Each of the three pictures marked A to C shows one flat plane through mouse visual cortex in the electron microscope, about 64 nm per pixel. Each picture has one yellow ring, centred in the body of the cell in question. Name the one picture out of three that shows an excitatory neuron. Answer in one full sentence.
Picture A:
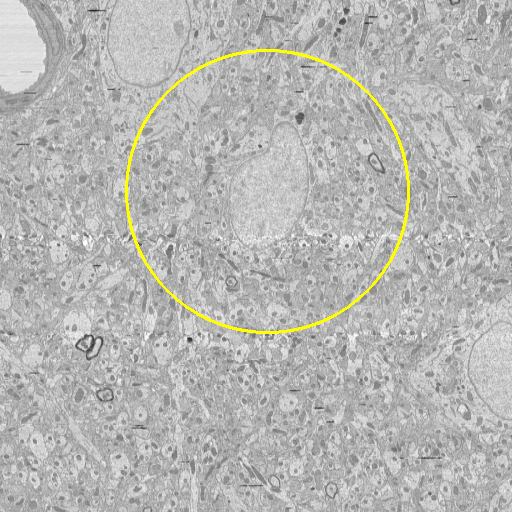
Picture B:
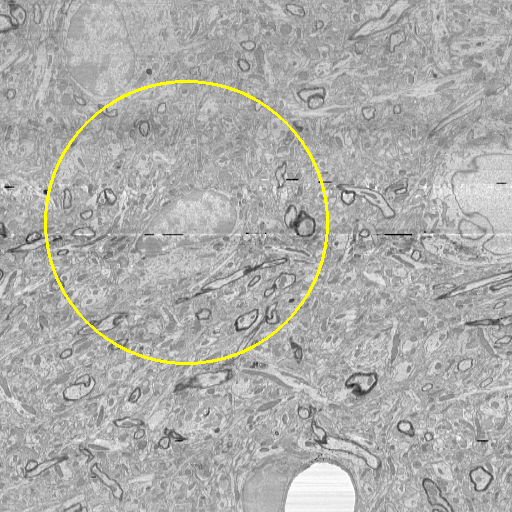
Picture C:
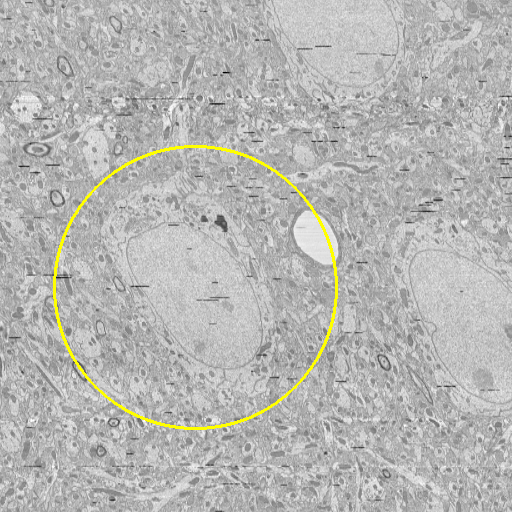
The excitatory neuron is the one in picture C.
